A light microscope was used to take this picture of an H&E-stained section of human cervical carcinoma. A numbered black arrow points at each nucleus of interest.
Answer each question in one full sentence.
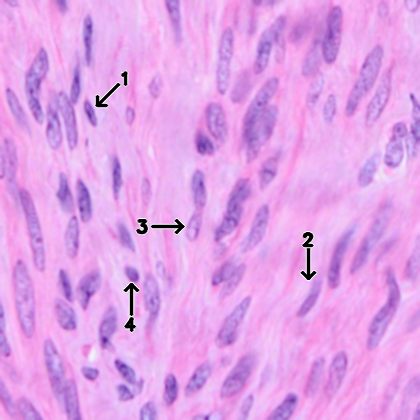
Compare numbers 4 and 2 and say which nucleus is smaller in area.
Nucleus 4 is the smaller one; nucleus 2 covers about 2 times its area.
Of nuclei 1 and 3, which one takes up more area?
Number 3 is larger; its area is about 1.5 times that of number 1.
